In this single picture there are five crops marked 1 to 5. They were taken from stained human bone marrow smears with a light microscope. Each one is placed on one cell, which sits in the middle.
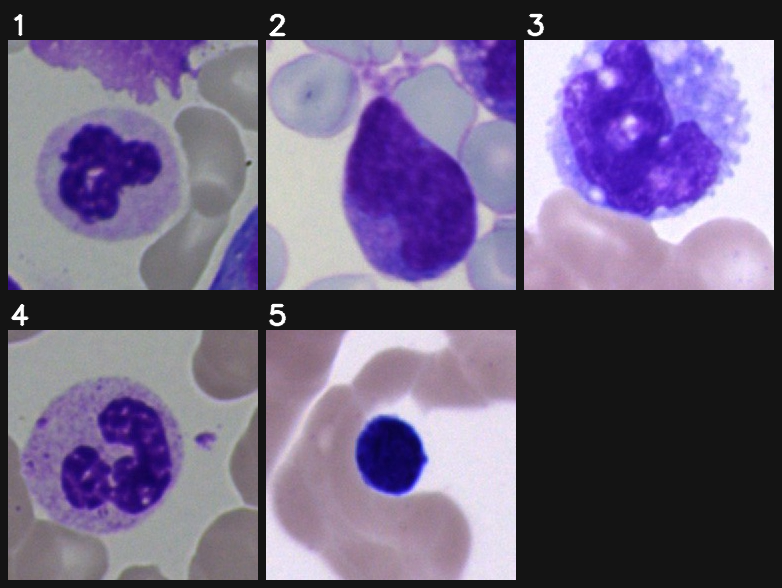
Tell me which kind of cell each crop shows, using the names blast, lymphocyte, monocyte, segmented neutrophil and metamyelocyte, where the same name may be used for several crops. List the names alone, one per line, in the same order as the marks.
segmented neutrophil
blast
monocyte
segmented neutrophil
lymphocyte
